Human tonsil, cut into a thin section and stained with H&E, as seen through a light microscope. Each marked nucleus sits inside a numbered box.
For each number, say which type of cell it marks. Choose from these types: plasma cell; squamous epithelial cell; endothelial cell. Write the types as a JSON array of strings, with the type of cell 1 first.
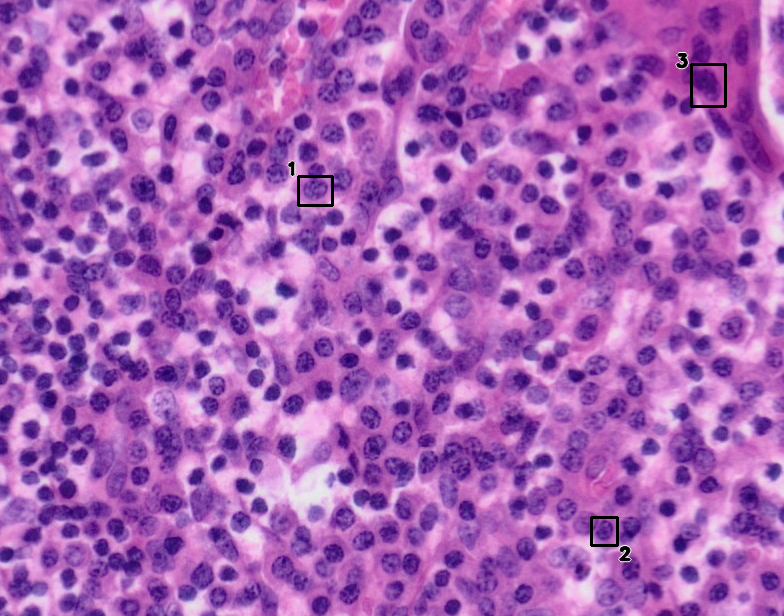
["plasma cell", "plasma cell", "squamous epithelial cell"]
